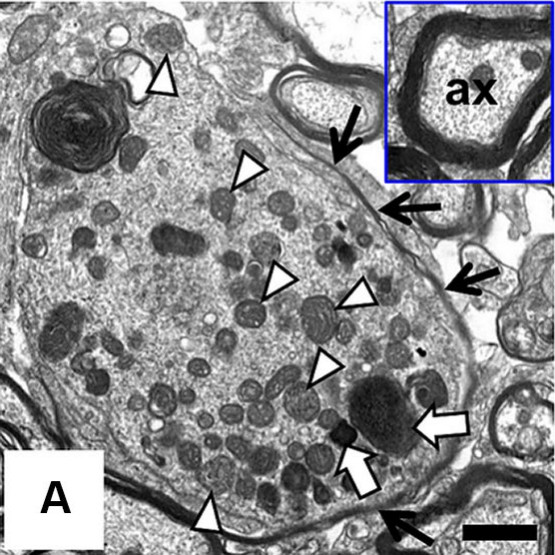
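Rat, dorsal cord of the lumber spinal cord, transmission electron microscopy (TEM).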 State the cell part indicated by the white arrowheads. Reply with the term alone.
Abnormal mitochondria.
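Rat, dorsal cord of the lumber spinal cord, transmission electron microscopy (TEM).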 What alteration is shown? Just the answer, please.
Axonal spheroids.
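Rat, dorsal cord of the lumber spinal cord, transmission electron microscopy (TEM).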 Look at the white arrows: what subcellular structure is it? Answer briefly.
dense bodies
